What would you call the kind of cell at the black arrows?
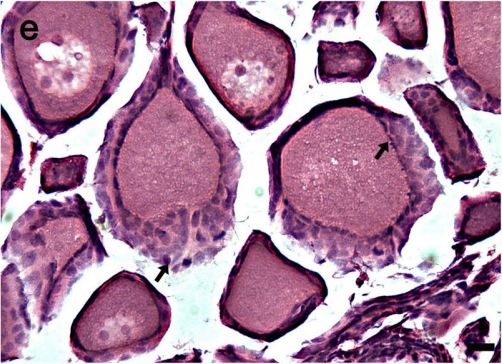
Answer: multiple layers of follicular cells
